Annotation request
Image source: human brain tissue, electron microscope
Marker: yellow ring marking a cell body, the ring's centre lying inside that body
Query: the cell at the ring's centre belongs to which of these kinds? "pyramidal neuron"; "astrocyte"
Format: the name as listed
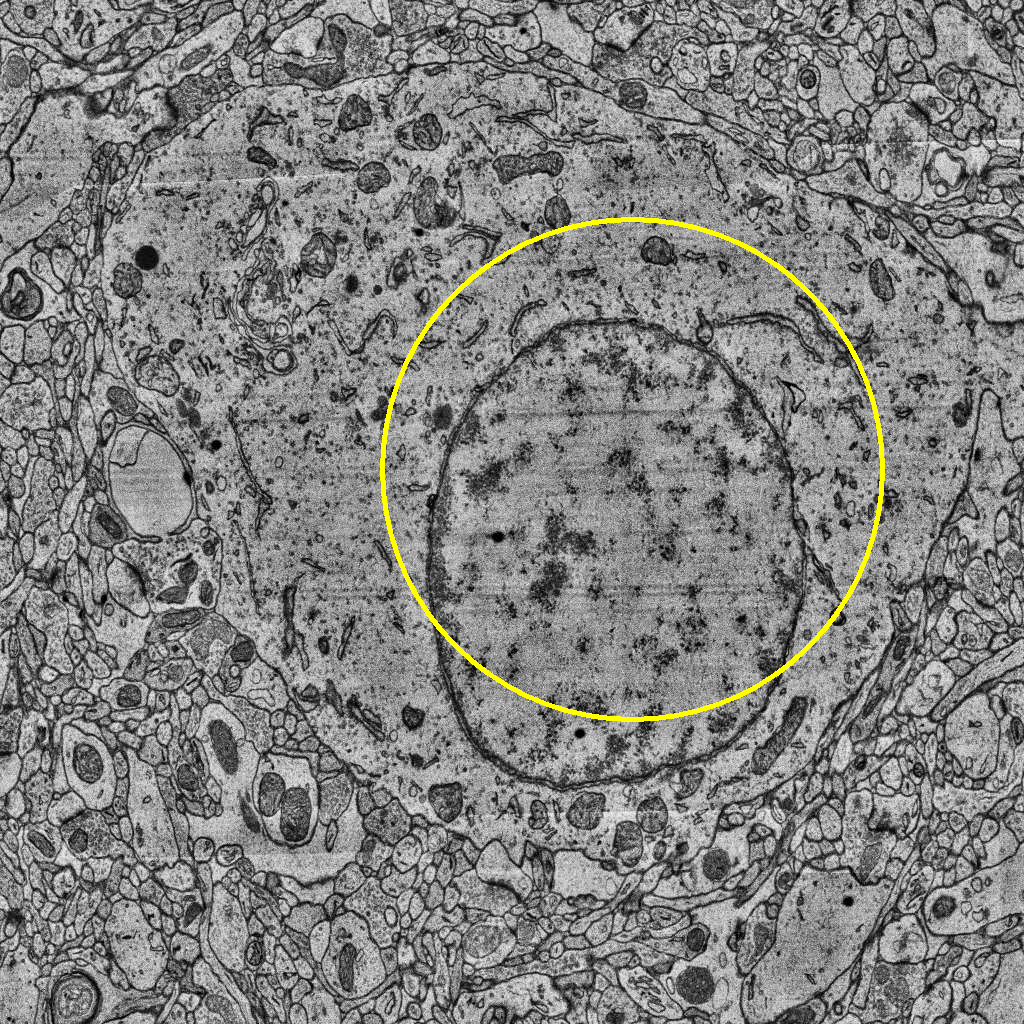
pyramidal neuron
